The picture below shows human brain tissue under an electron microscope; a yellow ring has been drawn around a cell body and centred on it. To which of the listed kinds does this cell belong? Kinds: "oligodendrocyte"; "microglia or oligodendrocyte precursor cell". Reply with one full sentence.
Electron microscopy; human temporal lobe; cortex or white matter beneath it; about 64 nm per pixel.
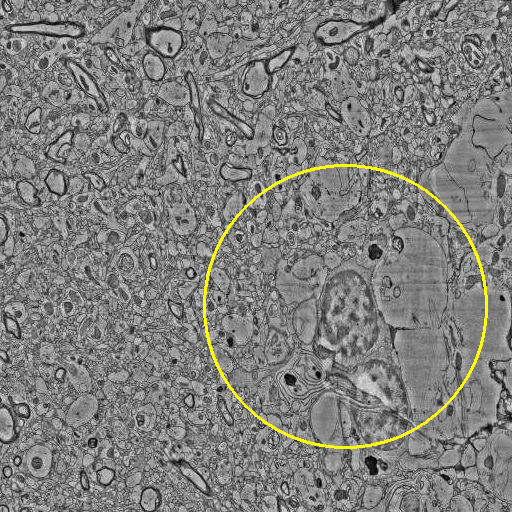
It is an oligodendrocyte that the yellow ring in the picture is centred on.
